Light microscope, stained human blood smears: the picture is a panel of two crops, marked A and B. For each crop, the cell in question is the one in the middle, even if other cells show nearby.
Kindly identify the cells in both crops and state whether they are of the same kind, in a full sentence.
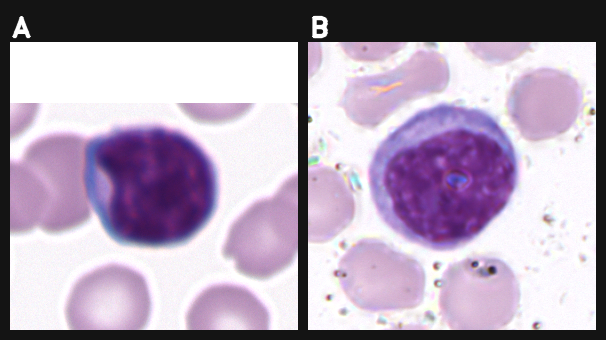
No, enter a typical lymphocyte for crop A and a plasma cell for crop B.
